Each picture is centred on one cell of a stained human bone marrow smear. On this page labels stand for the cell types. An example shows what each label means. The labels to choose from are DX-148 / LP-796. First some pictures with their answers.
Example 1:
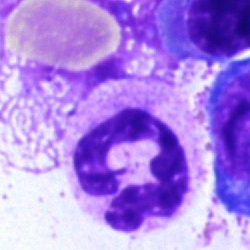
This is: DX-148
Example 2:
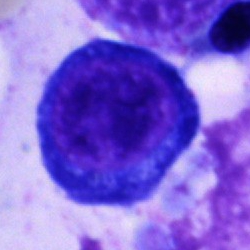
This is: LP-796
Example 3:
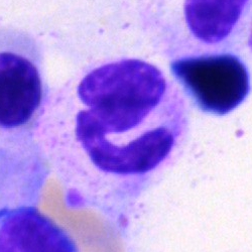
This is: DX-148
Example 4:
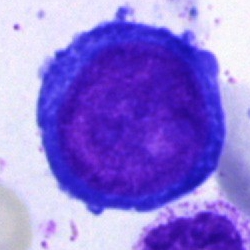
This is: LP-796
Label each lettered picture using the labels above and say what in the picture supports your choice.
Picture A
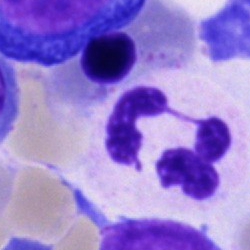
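DX-148. The cytoplasm is plentiful and pale pinkish lilac.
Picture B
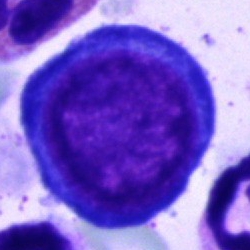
LP-796. The chromatin is finely stippled rather than coarsely clumped.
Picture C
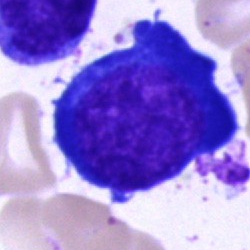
LP-796. The chromatin is finely granular with scattered paler patches rather than coarse dark clumps.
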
